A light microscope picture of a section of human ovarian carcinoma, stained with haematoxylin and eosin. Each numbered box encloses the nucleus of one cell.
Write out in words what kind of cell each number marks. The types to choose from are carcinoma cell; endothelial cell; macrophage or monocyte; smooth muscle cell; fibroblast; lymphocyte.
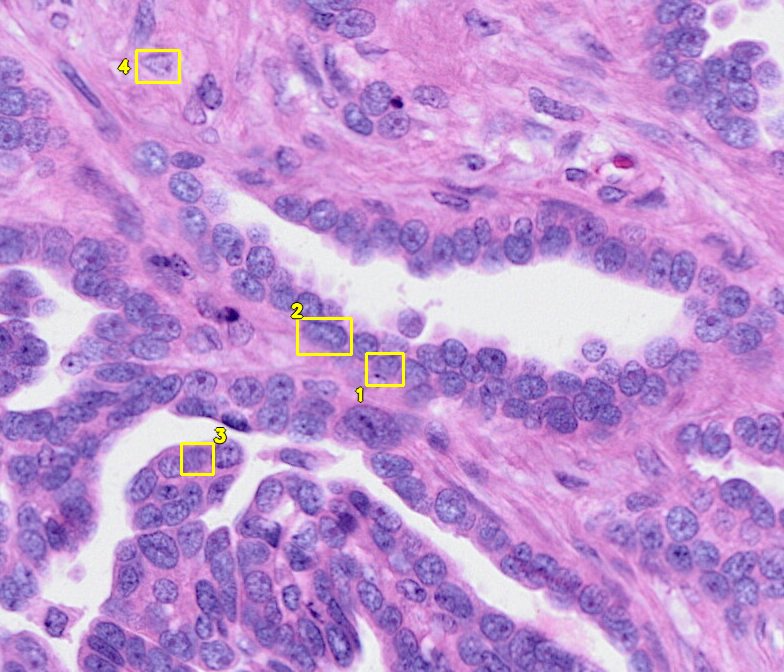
Cells 1, 2 and 3 are carcinoma cells. Cell 4 is a fibroblast.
